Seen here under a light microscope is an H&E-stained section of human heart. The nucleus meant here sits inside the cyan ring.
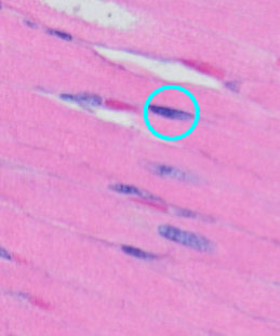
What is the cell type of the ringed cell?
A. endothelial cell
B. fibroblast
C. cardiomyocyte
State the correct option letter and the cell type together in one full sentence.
Here the right answer is B, with the ringed cell being a fibroblast.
